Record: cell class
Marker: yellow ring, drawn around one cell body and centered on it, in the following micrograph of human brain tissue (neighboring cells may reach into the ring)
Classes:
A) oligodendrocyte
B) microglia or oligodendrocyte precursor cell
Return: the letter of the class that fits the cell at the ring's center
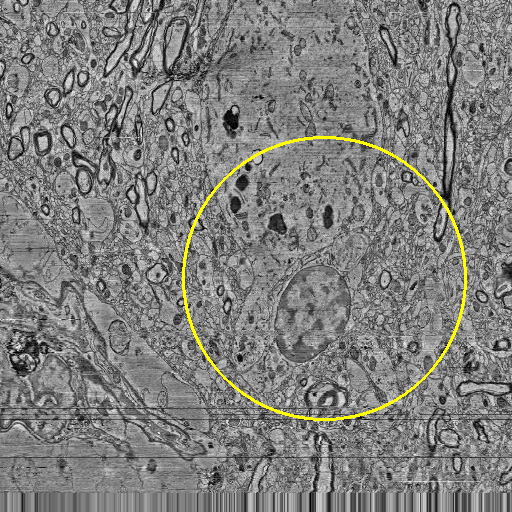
B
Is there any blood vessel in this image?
Yes, a blood vessel shows in the picture.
